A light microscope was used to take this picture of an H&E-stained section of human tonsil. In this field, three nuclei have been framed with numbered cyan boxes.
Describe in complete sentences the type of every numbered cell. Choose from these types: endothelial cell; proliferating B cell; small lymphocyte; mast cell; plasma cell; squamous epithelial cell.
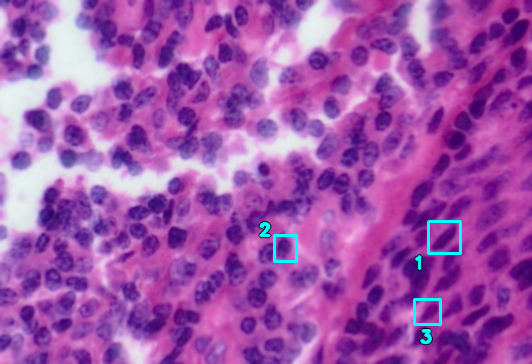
Cells 1 and 3 are squamous epithelial cells. Cell 2 is a plasma cell.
